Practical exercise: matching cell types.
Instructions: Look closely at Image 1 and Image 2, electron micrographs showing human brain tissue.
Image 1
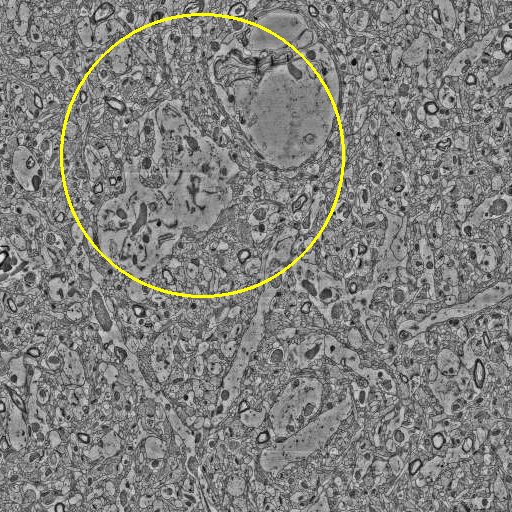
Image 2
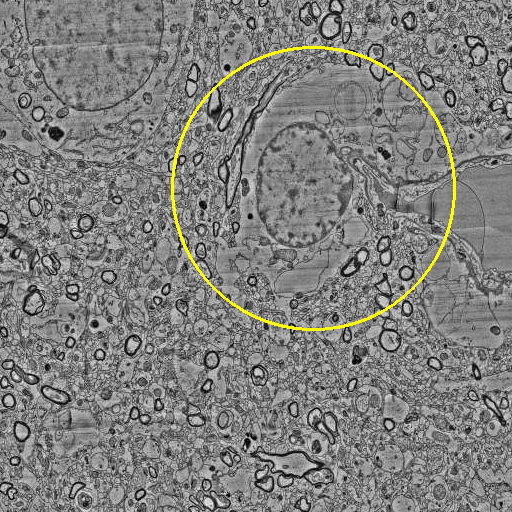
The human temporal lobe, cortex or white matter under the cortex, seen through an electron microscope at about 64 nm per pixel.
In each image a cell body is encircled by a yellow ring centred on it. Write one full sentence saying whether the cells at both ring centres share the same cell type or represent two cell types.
Across Image 1 and Image 2, the cells at the ring centres share the same cell type.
